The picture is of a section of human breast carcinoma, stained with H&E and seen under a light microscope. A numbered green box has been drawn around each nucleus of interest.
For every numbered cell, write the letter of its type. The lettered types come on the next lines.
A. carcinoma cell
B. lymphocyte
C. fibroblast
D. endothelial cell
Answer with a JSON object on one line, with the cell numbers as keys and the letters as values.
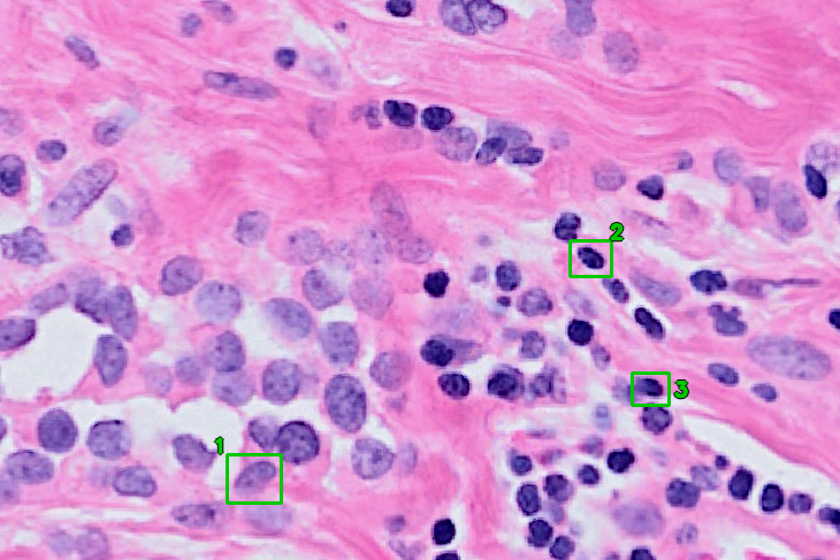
{"1": "A", "2": "B", "3": "B"}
